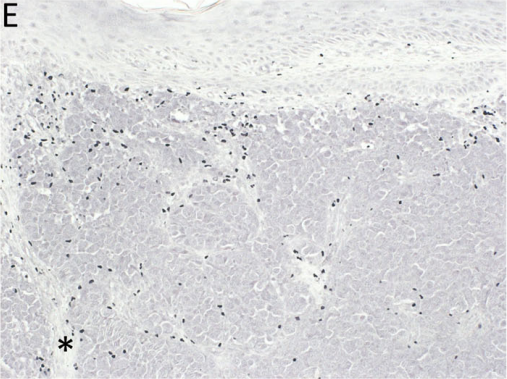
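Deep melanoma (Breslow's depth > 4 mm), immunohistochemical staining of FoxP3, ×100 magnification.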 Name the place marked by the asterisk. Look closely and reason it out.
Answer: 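Stromal compartment of the tumor. The asterisk lies in a pale fibrous strand between sheets of tumor cells. The strand has fewer cells than the surrounding sheets.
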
